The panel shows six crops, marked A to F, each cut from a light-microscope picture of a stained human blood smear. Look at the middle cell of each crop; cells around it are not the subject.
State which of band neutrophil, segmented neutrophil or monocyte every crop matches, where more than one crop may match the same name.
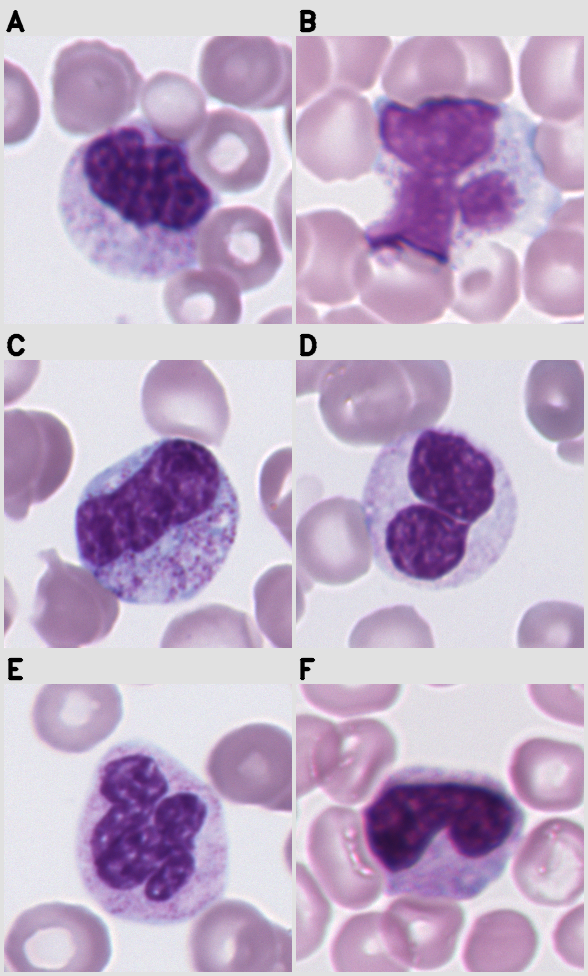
A: segmented neutrophil
B: monocyte
C: band neutrophil
D: segmented neutrophil
E: segmented neutrophil
F: band neutrophil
